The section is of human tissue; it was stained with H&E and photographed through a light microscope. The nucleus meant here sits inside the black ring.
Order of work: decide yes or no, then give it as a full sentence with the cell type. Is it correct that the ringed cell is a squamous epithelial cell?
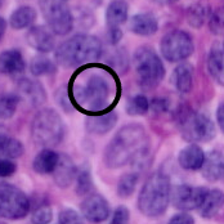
No, the ringed cell is best named a proliferating B cell, not a squamous epithelial cell.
